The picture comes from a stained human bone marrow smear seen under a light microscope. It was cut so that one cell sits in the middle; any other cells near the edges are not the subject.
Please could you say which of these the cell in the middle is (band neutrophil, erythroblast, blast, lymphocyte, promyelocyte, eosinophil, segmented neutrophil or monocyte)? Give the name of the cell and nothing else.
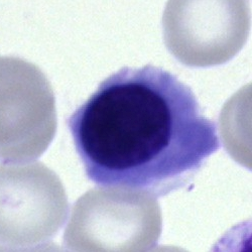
erythroblast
